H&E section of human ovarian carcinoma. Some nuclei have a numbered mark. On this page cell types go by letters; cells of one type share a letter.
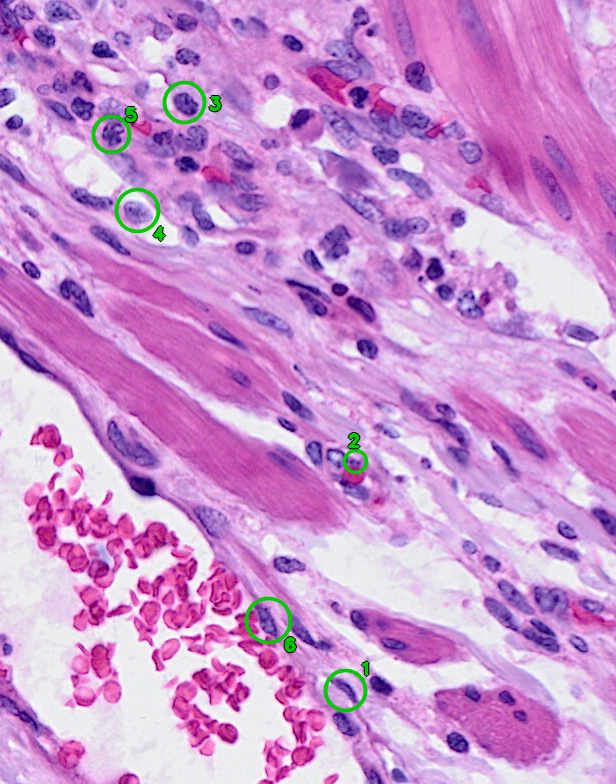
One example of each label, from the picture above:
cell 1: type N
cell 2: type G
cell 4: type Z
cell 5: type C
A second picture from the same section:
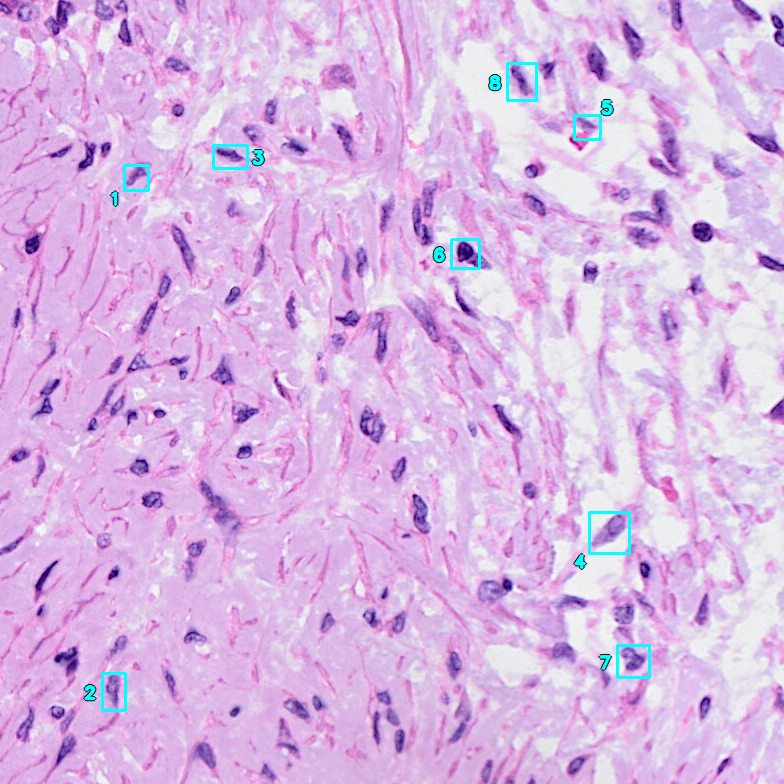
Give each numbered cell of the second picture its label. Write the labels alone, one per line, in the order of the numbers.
type N
type N
type N
type G
type G
type C
type Z
type N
